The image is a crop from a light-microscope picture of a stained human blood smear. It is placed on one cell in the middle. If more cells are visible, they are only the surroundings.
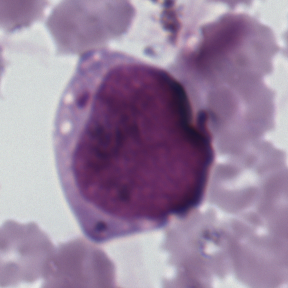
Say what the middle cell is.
myeloblast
